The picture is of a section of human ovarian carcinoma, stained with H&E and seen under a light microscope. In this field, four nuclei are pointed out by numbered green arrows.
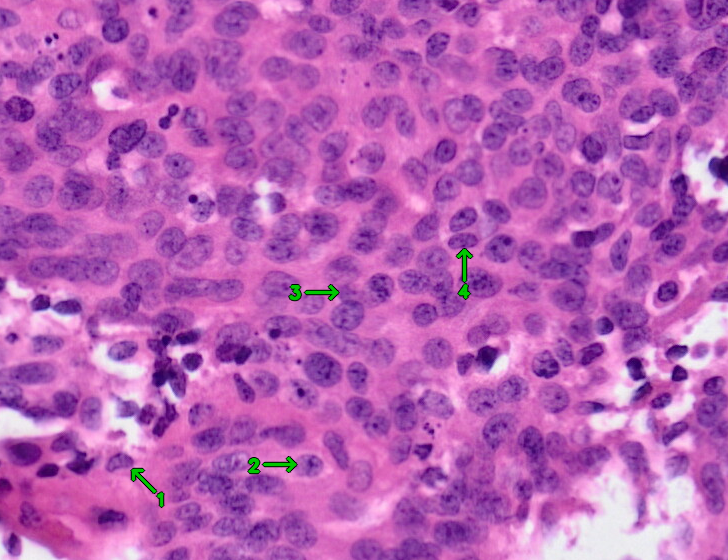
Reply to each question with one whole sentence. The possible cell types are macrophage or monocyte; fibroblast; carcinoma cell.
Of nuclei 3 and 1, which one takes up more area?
Nucleus 1 is the larger one, covering about 1.5 times the area of nucleus 3.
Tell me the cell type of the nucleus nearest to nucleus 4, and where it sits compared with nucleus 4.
A macrophage or monocyte lies closest, above nucleus 4.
